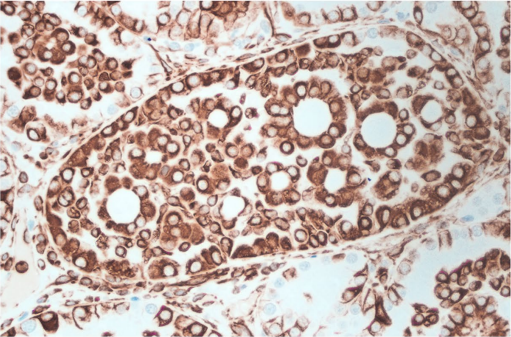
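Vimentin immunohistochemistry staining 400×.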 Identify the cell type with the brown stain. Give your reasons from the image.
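Neoplastic cells. Epithelial cells forming tubular nests have strong brown cytoplasm. Nuclei remain pale, outlined by brown cytoplasm.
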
